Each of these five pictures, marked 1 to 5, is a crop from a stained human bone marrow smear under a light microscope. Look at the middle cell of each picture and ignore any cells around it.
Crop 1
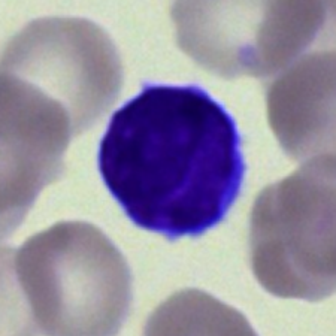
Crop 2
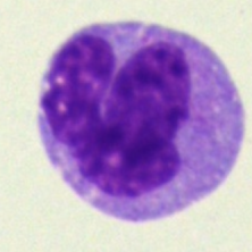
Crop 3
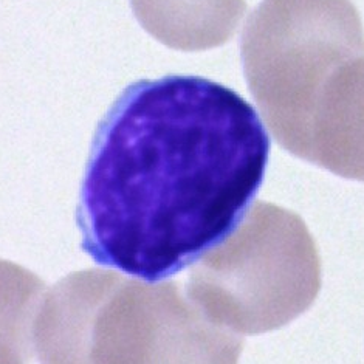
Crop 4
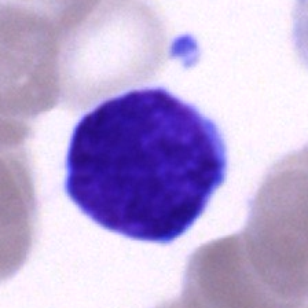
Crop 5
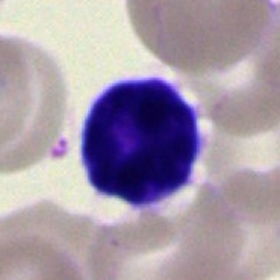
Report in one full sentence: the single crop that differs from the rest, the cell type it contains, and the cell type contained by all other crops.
Crop 2 breaks the pattern as a monocyte; the other crops all contain lymphocytes.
